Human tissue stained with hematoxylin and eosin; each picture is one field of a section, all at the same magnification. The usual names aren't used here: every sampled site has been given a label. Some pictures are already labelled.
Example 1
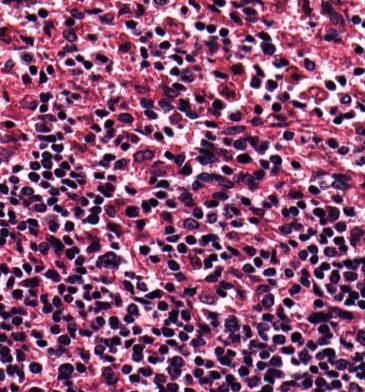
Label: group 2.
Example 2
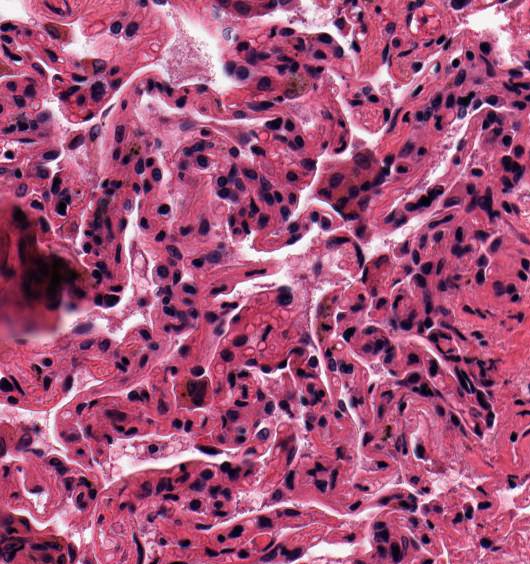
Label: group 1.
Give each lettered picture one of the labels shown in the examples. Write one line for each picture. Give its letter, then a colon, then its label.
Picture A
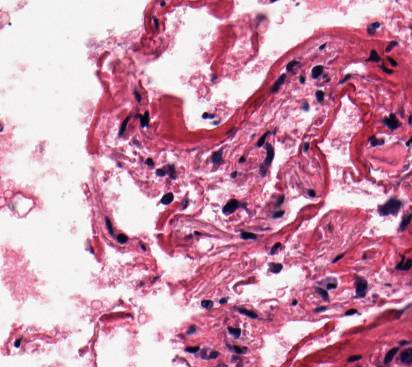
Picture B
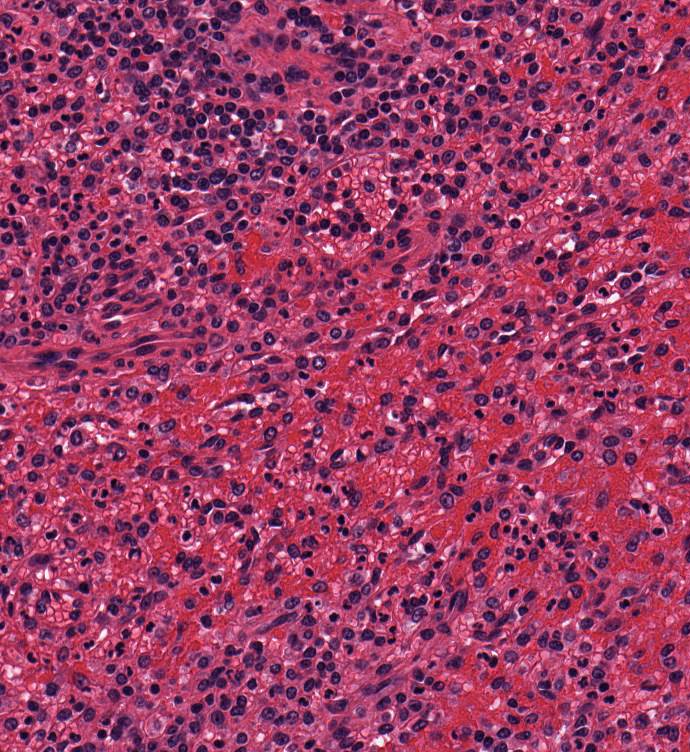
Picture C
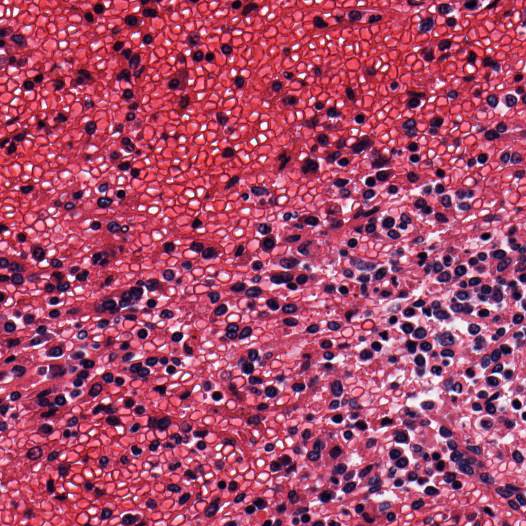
A: group 1.
B: group 2.
C: group 2.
